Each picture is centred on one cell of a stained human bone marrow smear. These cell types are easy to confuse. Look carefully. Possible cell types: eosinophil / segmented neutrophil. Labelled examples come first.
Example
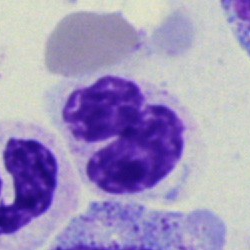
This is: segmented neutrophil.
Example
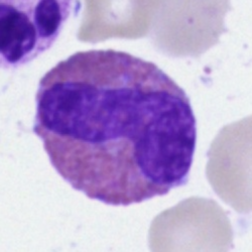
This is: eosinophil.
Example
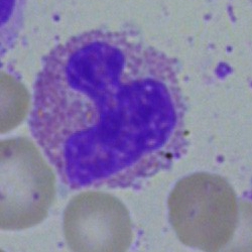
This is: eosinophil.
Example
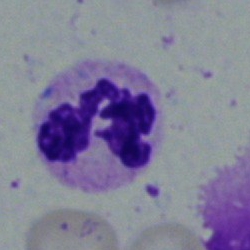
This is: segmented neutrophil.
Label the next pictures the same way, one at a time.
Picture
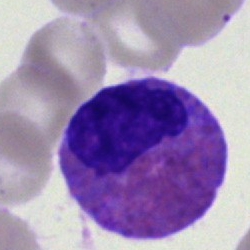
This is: eosinophil.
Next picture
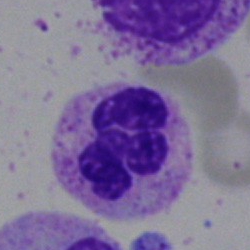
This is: segmented neutrophil.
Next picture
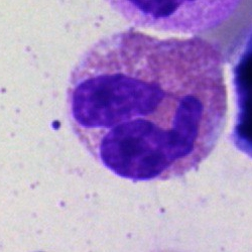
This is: eosinophil.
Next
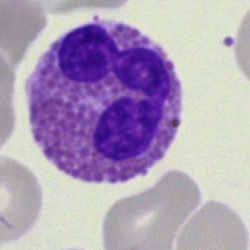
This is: eosinophil.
